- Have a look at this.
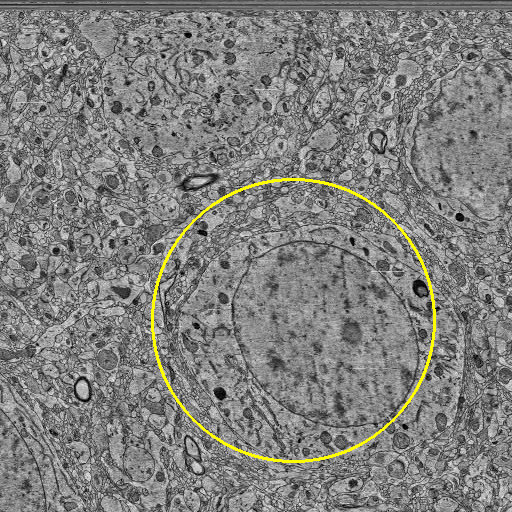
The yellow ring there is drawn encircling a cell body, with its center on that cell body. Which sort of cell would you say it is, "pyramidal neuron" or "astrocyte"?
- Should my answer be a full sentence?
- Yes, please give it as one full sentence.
For this picture, a pyramidal neuron is the cell where the yellow ring has its center.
